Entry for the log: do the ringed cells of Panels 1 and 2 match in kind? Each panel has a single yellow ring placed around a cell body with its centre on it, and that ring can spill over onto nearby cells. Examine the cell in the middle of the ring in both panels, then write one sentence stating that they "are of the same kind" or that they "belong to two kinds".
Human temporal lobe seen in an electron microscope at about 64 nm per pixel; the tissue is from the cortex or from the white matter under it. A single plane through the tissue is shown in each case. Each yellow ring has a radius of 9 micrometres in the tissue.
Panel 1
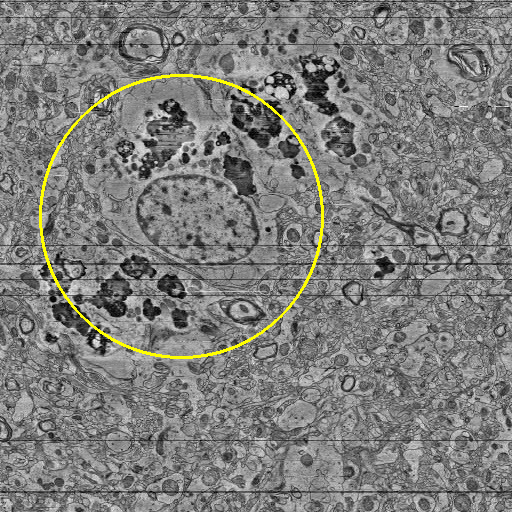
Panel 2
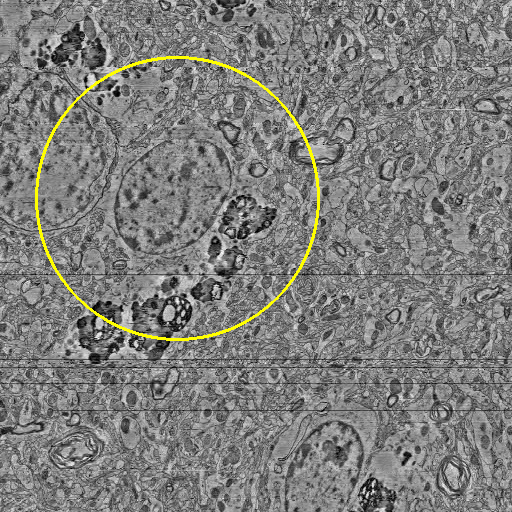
The centre cell of Panel 1's ring and that of Panel 2's ring are of the same kind.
